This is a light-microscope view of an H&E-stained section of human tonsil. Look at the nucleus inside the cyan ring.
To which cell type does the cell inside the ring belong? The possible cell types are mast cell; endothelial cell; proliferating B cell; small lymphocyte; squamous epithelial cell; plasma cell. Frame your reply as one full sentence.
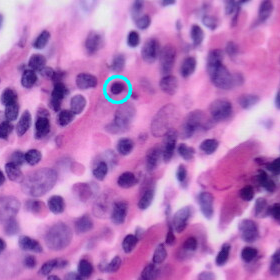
The cell type represented by the cell inside the ring is that of an endothelial cell.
